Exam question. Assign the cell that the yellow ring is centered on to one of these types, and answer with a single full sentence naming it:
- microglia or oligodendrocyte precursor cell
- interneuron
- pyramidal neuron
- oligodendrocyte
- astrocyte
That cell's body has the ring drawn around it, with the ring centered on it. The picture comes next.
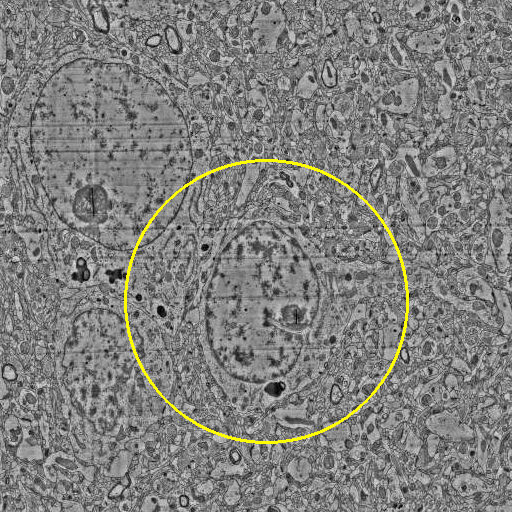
In the micrograph, the cell the yellow ring is centered on is an interneuron.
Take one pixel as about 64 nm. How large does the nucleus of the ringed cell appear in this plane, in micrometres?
In this plane, the nucleus is roughly 10 by 8 micrometres.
